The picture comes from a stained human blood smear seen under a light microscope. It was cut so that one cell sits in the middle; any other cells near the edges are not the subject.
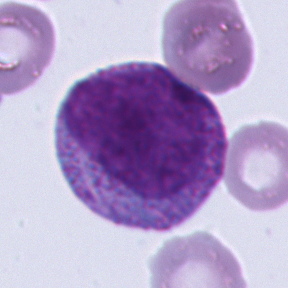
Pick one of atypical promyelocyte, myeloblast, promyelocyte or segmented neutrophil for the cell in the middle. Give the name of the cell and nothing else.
promyelocyte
